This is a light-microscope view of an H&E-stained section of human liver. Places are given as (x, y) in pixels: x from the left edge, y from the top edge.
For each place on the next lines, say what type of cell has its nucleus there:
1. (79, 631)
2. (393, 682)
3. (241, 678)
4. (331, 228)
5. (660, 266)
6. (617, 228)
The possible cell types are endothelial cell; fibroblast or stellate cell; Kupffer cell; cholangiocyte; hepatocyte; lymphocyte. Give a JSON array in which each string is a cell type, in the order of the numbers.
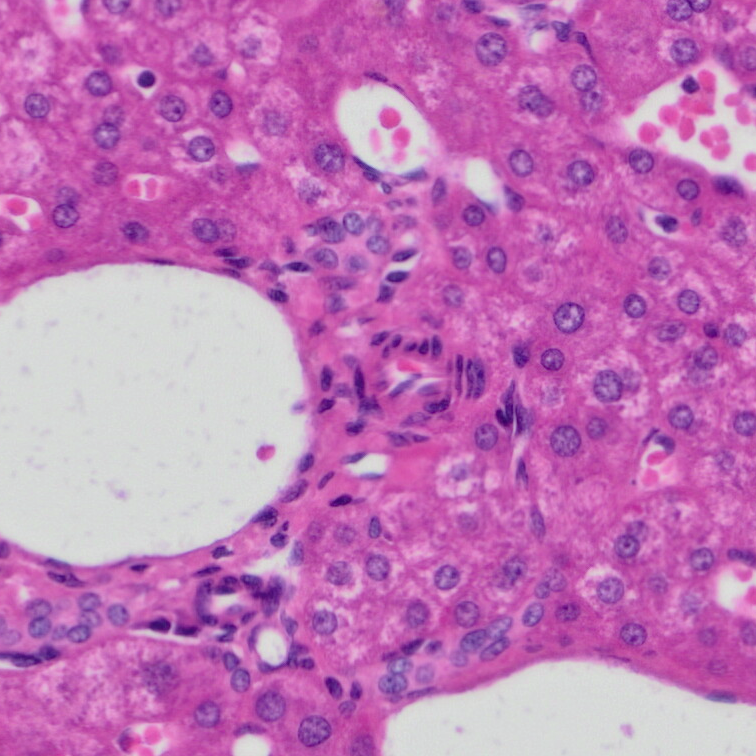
["cholangiocyte", "cholangiocyte", "cholangiocyte", "cholangiocyte", "hepatocyte", "hepatocyte"]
